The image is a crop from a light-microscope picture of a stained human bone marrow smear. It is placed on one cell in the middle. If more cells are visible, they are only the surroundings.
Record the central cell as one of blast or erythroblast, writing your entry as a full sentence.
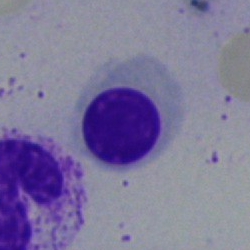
By classification, the middle cell of this crop is an erythroblast.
